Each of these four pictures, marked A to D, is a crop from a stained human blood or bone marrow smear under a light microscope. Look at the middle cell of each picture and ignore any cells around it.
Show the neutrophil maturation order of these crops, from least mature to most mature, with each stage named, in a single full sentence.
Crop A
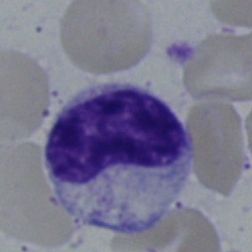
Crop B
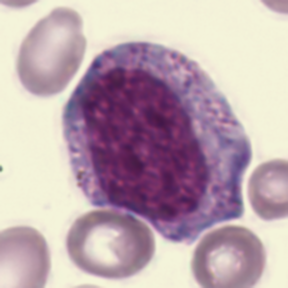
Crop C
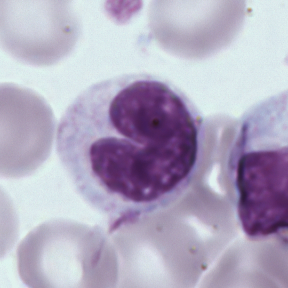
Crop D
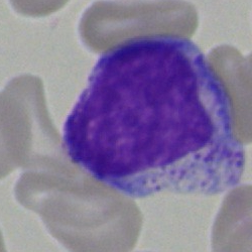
What results from ordering by maturity, least to most, is crop B (a promyelocyte), crop D (a myelocyte), crop A (a metamyelocyte) and crop C (a band neutrophil).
